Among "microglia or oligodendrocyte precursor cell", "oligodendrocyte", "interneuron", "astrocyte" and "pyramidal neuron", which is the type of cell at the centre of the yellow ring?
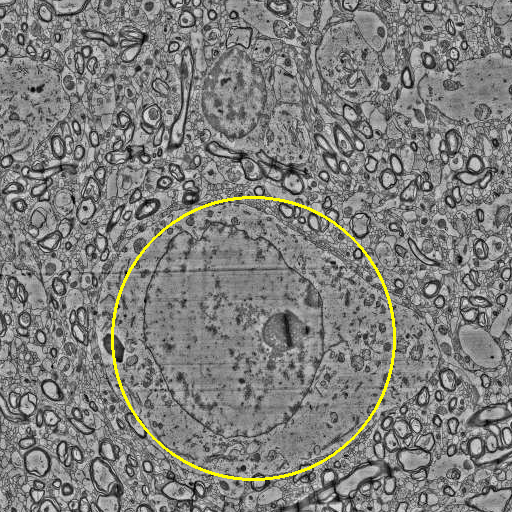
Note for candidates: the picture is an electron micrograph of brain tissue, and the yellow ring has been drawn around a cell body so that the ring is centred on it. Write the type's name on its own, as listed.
pyramidal neuron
